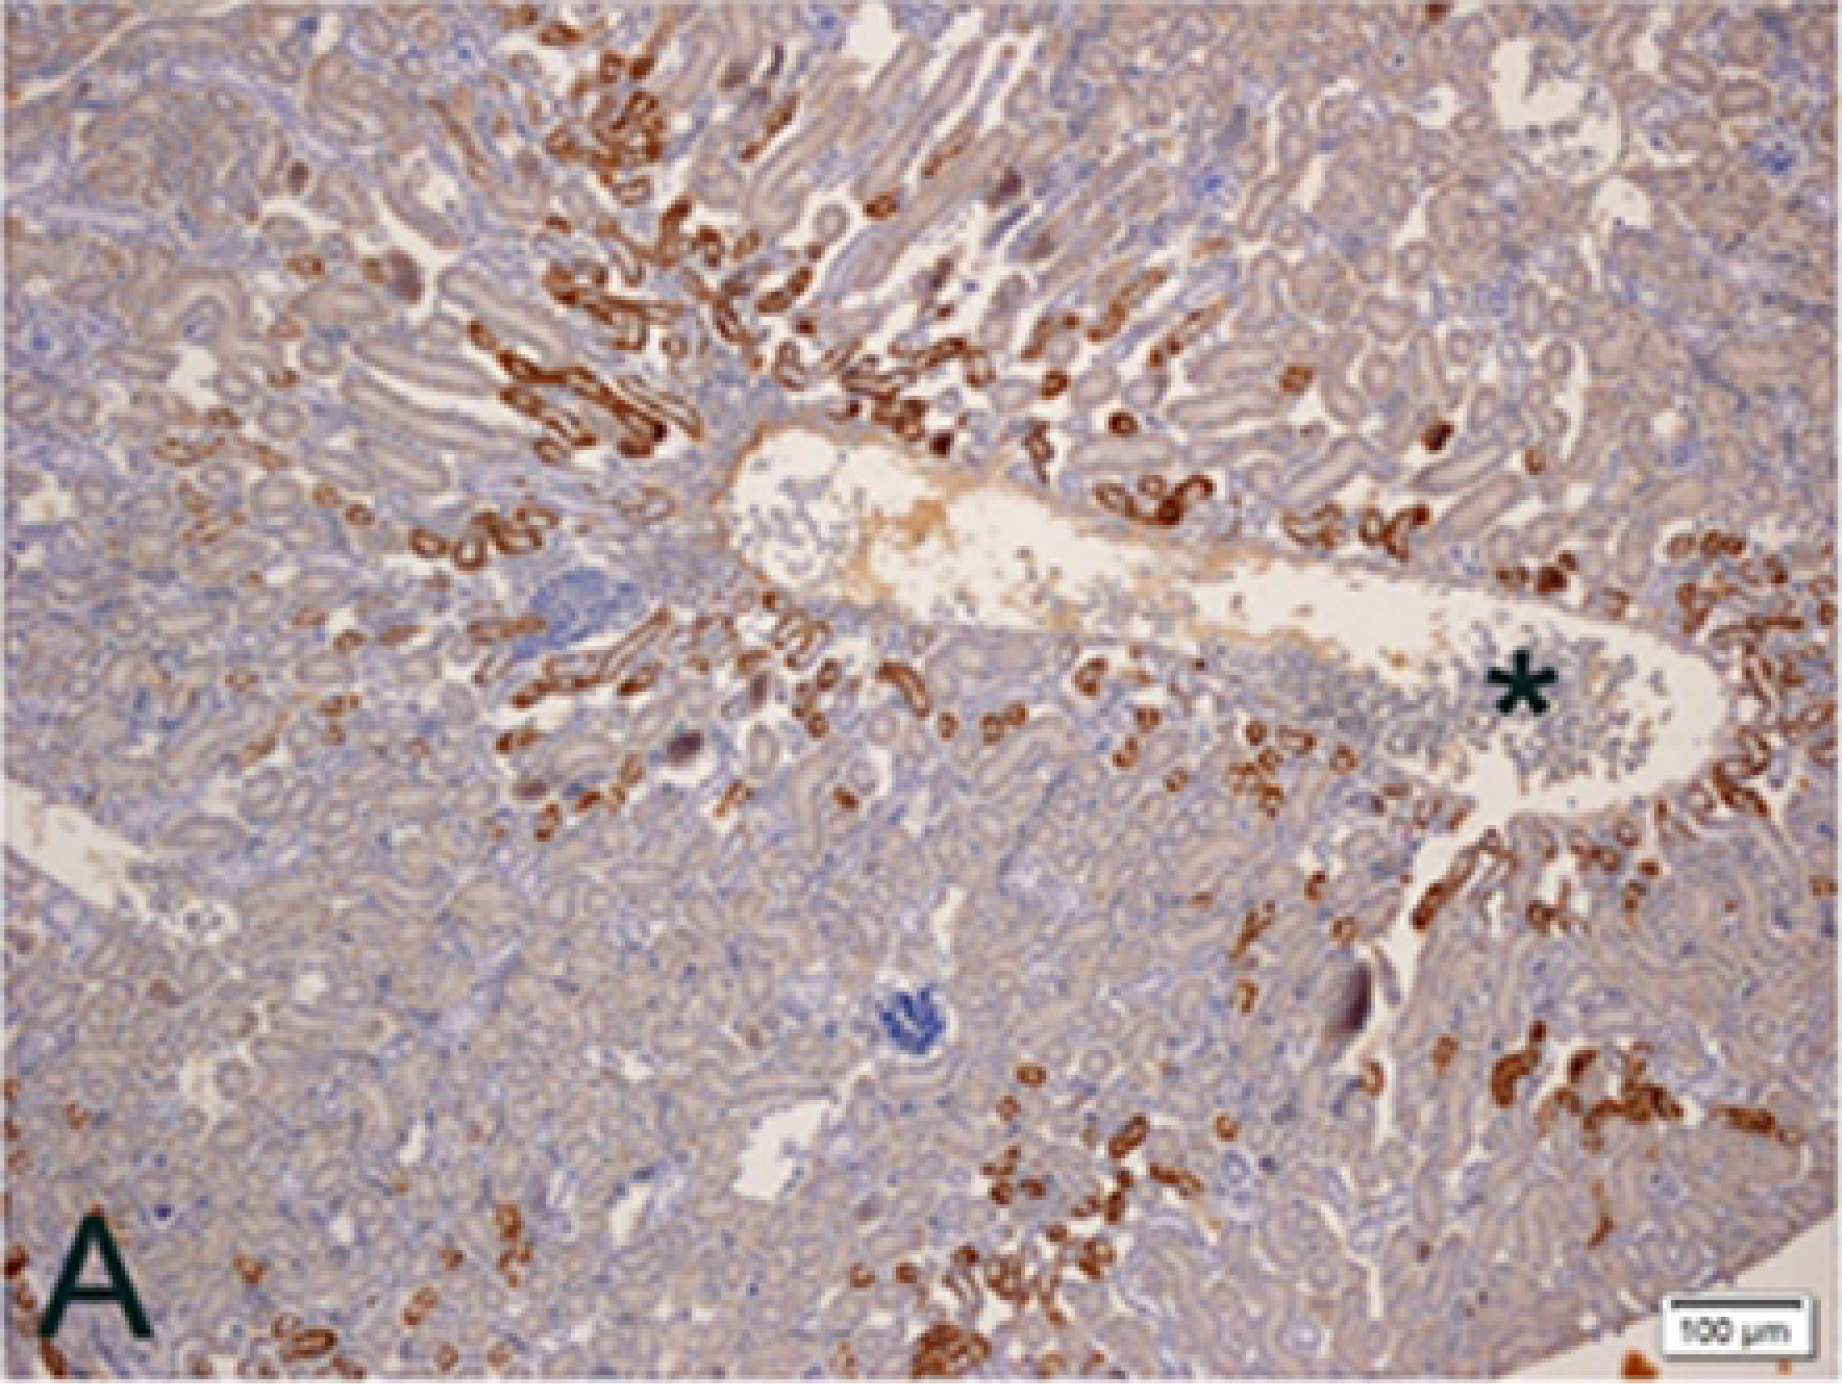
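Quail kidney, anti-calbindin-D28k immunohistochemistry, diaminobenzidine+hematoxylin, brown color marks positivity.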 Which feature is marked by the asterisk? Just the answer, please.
Large vessels.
